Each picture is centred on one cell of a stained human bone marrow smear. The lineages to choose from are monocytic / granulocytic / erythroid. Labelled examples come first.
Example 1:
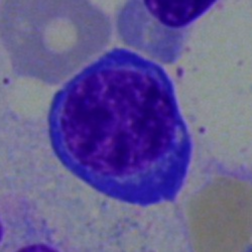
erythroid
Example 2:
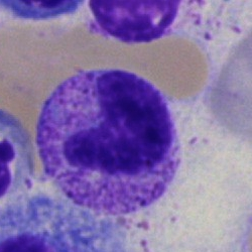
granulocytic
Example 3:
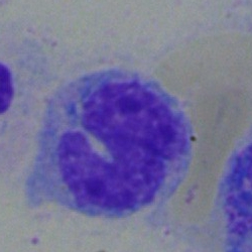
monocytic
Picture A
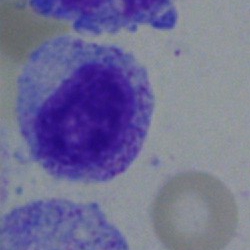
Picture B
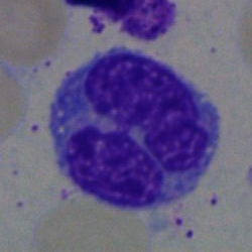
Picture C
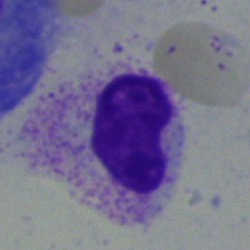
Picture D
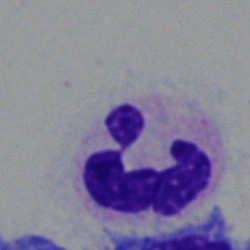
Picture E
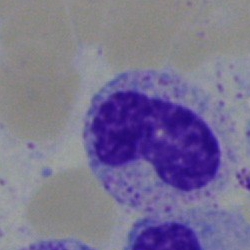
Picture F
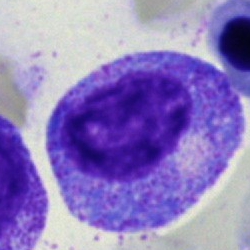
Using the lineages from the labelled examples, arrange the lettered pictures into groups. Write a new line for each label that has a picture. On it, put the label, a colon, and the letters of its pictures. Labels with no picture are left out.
monocytic: B
granulocytic: A, C, D, E, F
